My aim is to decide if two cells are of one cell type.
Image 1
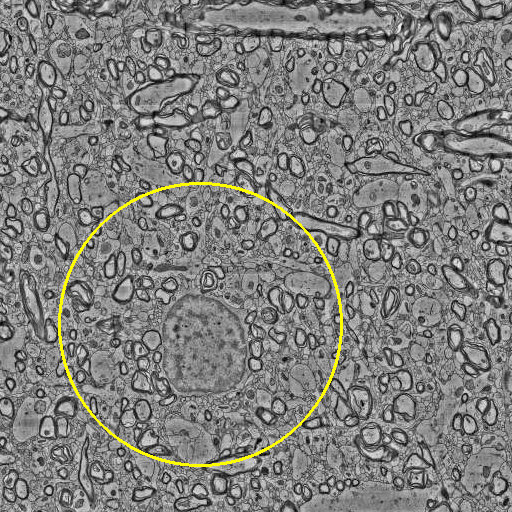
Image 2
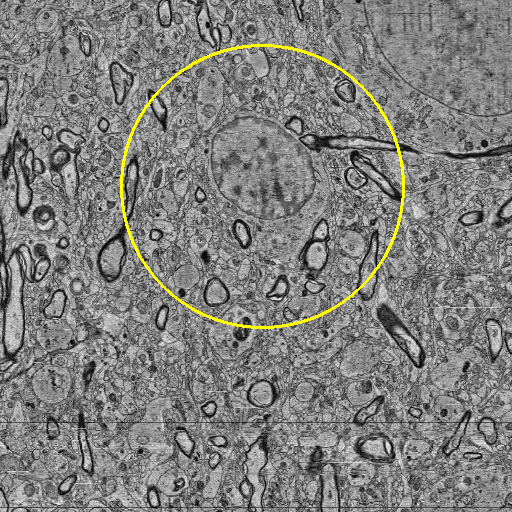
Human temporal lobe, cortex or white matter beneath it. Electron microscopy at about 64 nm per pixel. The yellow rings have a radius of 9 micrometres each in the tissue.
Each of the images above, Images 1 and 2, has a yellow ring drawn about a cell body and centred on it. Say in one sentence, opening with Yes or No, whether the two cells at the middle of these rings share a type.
Yes, in Images 1 and 2 the cells at the middle of the rings share one type.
